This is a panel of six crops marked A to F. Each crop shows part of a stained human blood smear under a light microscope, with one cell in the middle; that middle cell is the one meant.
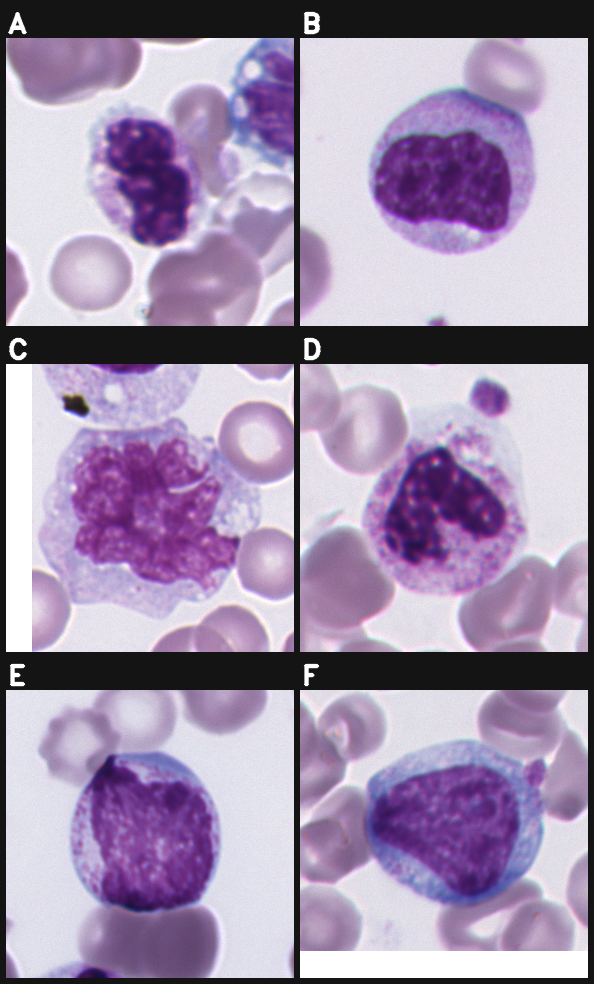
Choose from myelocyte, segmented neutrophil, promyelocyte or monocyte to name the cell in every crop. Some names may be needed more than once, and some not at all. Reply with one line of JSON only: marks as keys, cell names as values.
{"A": "segmented neutrophil", "B": "monocyte", "C": "monocyte", "D": "segmented neutrophil", "E": "myelocyte", "F": "promyelocyte"}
